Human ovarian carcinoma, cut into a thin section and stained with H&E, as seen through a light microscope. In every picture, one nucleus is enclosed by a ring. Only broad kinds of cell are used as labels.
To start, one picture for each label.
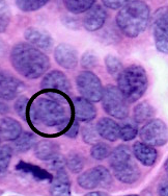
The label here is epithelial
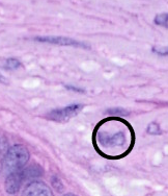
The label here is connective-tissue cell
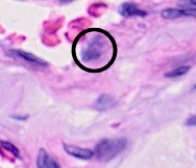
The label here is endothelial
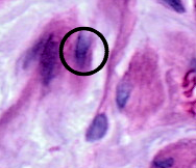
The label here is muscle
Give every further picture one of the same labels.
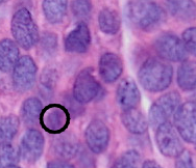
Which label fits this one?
epithelial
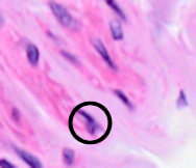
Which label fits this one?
muscle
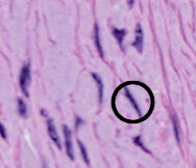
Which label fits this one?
connective-tissue cell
